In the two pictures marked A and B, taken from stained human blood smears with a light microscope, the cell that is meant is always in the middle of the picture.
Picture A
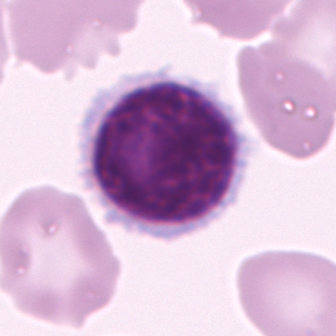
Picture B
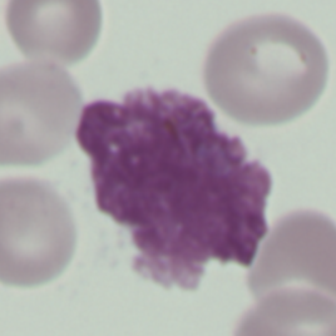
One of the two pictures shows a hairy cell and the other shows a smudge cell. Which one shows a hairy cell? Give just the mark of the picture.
A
